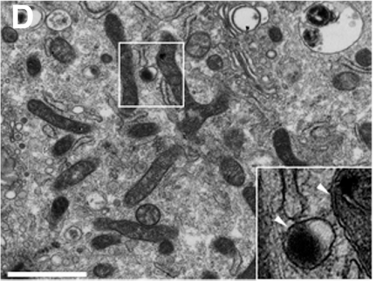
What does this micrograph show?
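Transmission electron micrograph of cytoplasm crowded with elongated and rounded mitochondria with visible cristae. The inset enlarges a round organelle with a dark, dense core bounded by a single membrane, lying beside a mitochondrion bounded by a double membrane, with white arrowheads on the membranes.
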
